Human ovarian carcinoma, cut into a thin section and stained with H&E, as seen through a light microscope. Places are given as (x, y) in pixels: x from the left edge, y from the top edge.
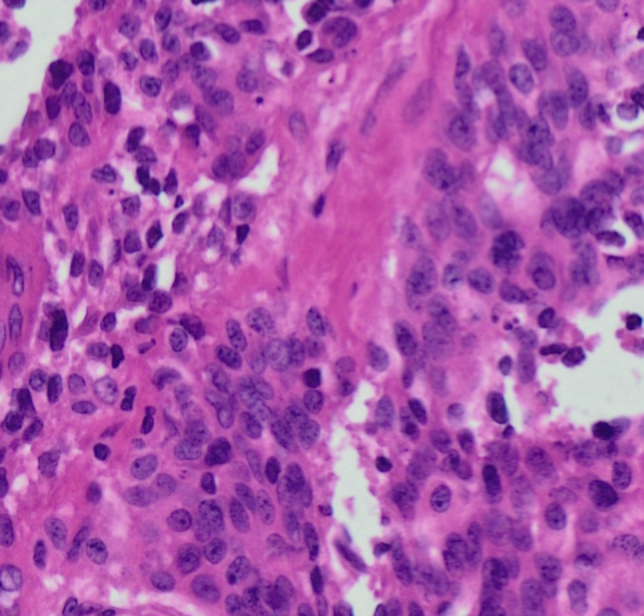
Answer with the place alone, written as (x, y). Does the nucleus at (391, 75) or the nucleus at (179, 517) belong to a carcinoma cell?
(179, 517)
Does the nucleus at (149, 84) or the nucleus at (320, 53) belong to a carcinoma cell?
(320, 53)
